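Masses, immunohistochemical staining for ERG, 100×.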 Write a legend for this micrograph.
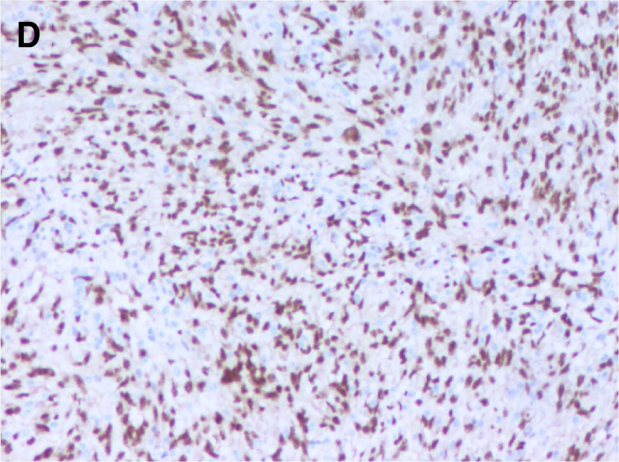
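This section shows the tumour with brown nuclear staining over a pale blue counterstain. Most of the tumour nuclei are dark brown and elongated to oval, fitting spindle-shaped cells. The stained nuclei lie densely but irregularly, in vaguely streaming fascicles. A minority of nuclei take only the blue counterstain. The cytoplasm around the nuclei stays pale and unstained.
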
